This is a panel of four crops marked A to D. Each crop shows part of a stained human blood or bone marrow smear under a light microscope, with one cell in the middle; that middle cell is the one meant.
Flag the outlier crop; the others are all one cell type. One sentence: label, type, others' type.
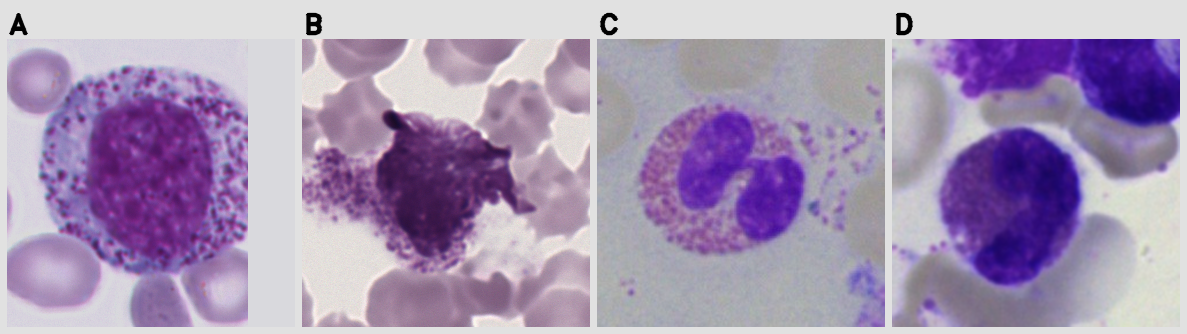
What sets crop A apart is that it is a promyelocyte; the others are all eosinophils.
